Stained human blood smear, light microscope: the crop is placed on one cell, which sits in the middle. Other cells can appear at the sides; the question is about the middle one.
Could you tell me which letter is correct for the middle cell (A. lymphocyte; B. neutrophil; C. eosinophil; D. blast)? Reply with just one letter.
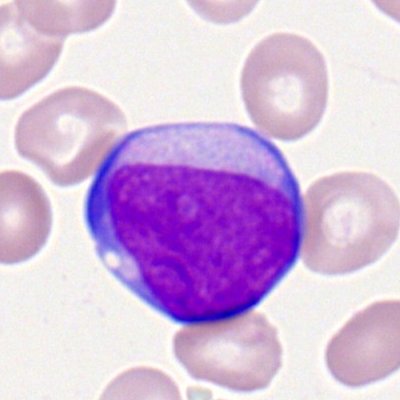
D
